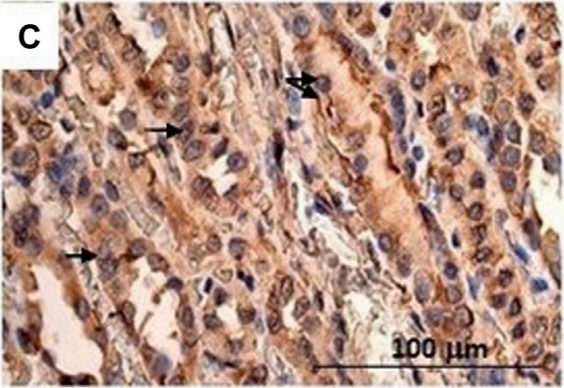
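Renal tissue with tubular epithelial cells in elongated rows, most of them strongly stained brown in the cytoplasm and along the cell borders. The cells are closely packed, with round to oval blue nuclei, some crowded and overlapping. The brown colour is dense and widespread, filling much of the field, with only some cells paler. Scattered clear, irregular spaces open between the rows of cells, and some lumens appear widened. The regular tubular pattern is less orderly than in normal kidney, with cells piled along the tubules.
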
